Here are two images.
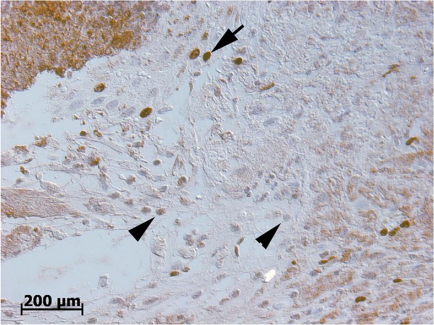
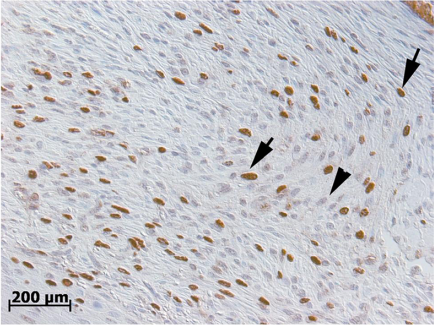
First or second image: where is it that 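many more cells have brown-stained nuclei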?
The second image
